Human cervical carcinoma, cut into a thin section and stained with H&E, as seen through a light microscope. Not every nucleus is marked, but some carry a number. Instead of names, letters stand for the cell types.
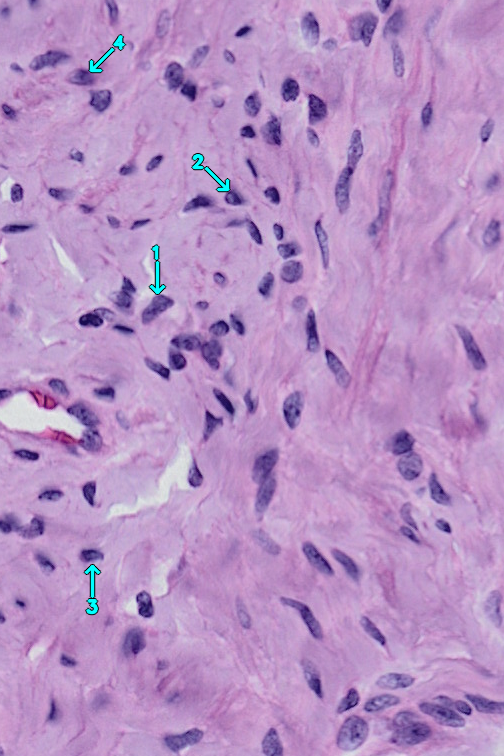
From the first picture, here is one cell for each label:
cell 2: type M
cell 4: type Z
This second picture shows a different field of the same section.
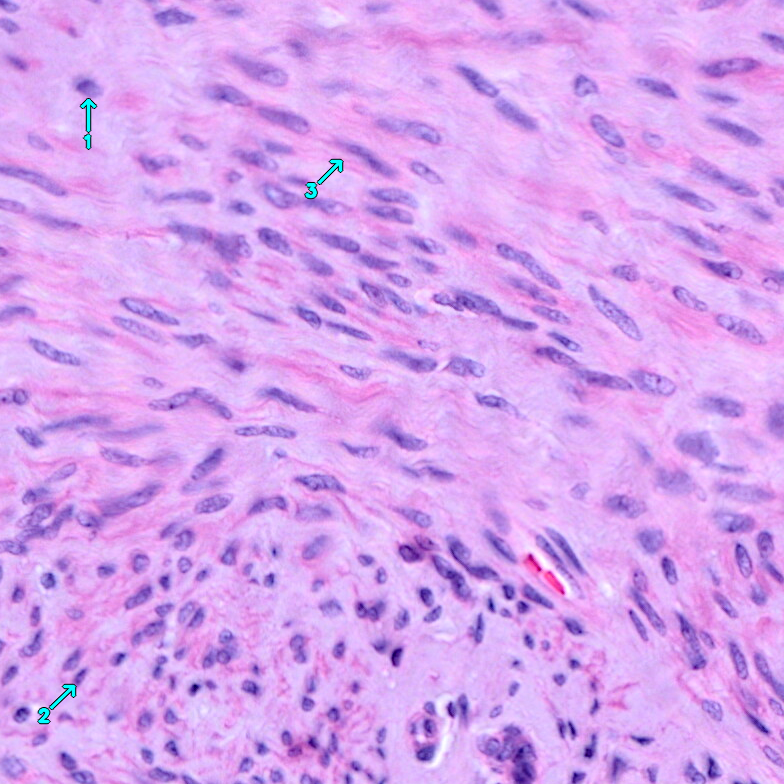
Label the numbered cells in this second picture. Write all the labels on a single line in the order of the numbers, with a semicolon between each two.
type M; type Z; type Z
